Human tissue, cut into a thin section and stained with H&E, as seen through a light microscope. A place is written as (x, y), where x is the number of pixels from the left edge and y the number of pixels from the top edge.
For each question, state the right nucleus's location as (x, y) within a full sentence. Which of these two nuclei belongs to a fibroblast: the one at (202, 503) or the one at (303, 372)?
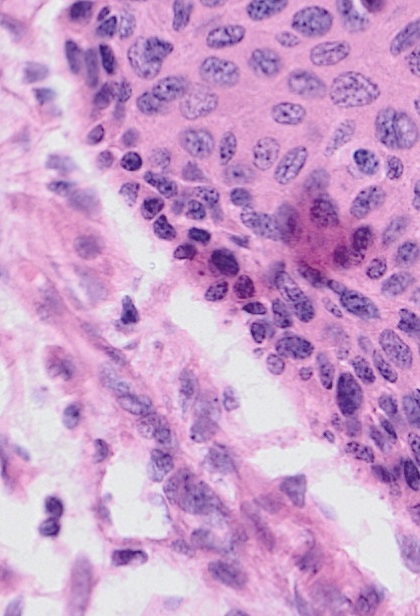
Of the two, the nucleus at (202, 503) is the one contained in a fibroblast.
